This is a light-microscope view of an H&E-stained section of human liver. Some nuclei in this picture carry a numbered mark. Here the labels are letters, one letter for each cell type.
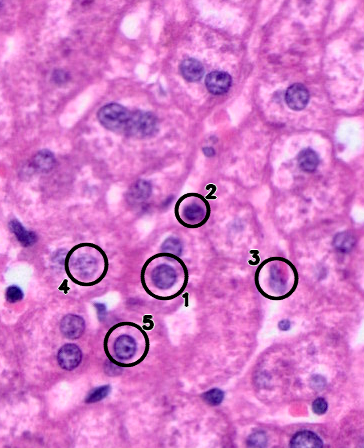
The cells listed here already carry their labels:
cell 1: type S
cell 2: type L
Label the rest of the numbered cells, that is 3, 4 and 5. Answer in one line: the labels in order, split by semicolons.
type L; type S; type S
